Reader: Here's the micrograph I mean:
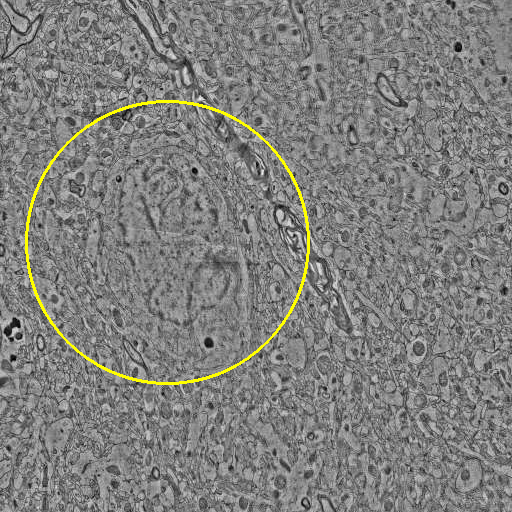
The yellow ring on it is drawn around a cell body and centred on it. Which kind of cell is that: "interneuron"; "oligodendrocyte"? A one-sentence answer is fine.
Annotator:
The ring is centred on an interneuron.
